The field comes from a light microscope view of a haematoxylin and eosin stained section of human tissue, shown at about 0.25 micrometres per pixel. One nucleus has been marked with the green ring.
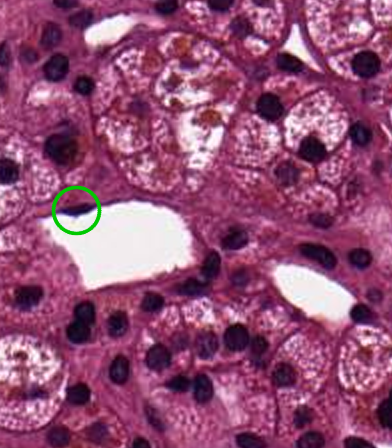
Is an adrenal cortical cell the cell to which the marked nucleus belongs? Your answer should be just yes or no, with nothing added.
no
